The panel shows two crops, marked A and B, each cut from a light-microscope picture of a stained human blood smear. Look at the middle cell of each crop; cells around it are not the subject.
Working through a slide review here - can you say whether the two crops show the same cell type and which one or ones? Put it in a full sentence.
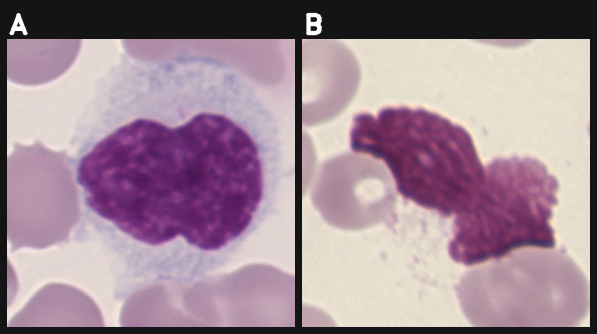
No, as for crop A, it shows a hairy cell, and crop B shows a smudge cell.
